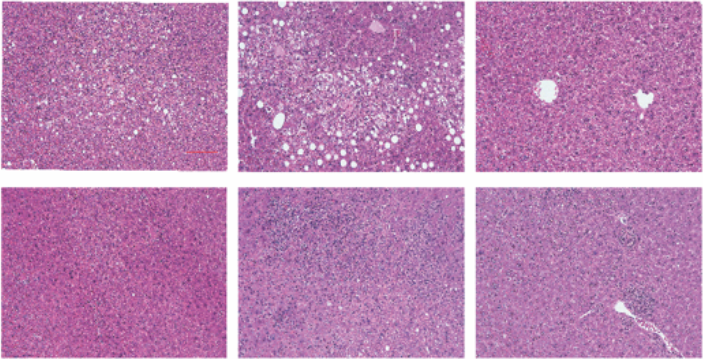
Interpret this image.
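Liver sections stained with hematoxylin and eosin. Hepatocytes form pink sheets of polygonal cells with round central nuclei, interrupted by central veins. In some views many round clear vacuoles of varied size lie within the hepatocytes, clustered in zones. In other views the parenchyma is denser and small dark-blue nuclei gather in patches between the hepatocytes, forming focal clusters of small round cells amid the tissue.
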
